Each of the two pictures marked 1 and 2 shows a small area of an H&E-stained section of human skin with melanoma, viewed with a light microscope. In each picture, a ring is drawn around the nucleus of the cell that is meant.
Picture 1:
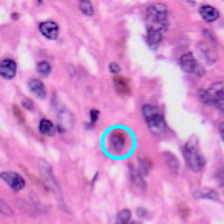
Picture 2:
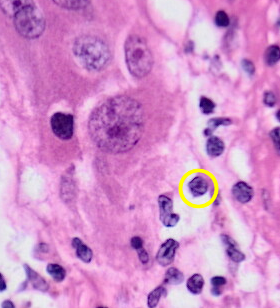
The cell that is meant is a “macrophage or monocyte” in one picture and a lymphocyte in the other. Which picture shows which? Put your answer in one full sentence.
The cell in picture 1 is a “macrophage or monocyte”, and the one in picture 2 is a lymphocyte.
